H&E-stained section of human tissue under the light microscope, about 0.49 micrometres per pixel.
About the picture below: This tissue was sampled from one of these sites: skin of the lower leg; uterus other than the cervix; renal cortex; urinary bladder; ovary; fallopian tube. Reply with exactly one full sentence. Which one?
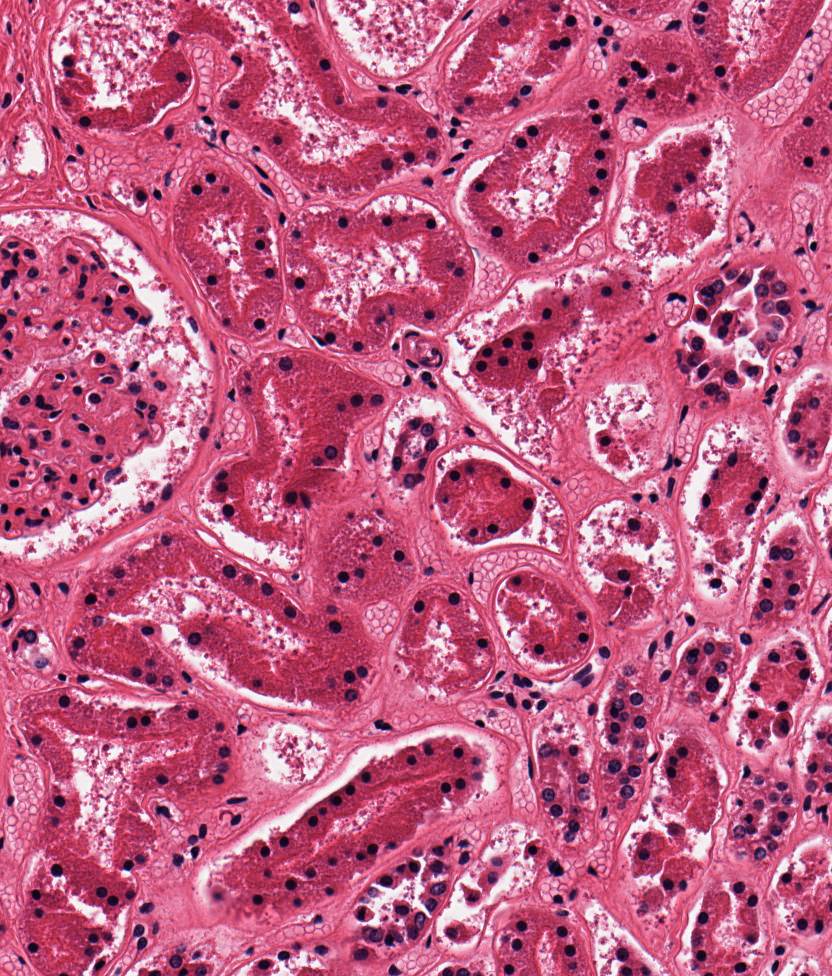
It is from the renal cortex that this section was cut.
